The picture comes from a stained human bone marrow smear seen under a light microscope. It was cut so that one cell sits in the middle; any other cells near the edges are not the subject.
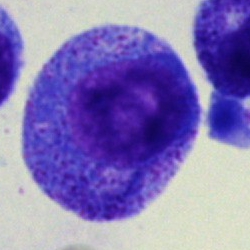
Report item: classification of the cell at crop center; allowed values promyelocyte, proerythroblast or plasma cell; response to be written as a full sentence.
Within this crop, a promyelocyte occupies the central position.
